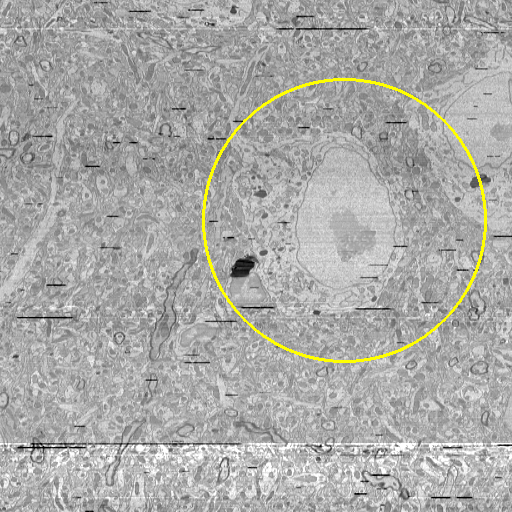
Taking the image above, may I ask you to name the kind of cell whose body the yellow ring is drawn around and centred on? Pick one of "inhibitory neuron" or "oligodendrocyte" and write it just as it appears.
inhibitory neuron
